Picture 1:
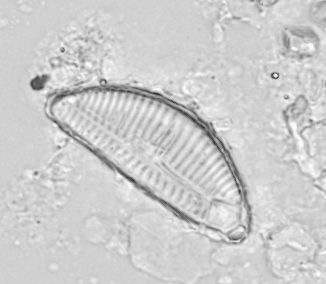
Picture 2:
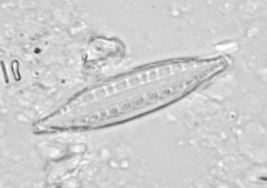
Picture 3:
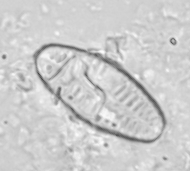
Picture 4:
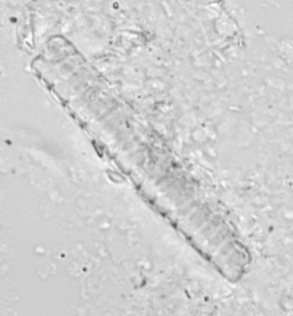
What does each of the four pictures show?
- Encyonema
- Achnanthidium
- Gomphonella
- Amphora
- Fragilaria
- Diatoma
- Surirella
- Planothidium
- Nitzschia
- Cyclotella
Picture 1: Encyonema
Picture 2: Nitzschia
Picture 3: Planothidium
Picture 4: Diatoma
